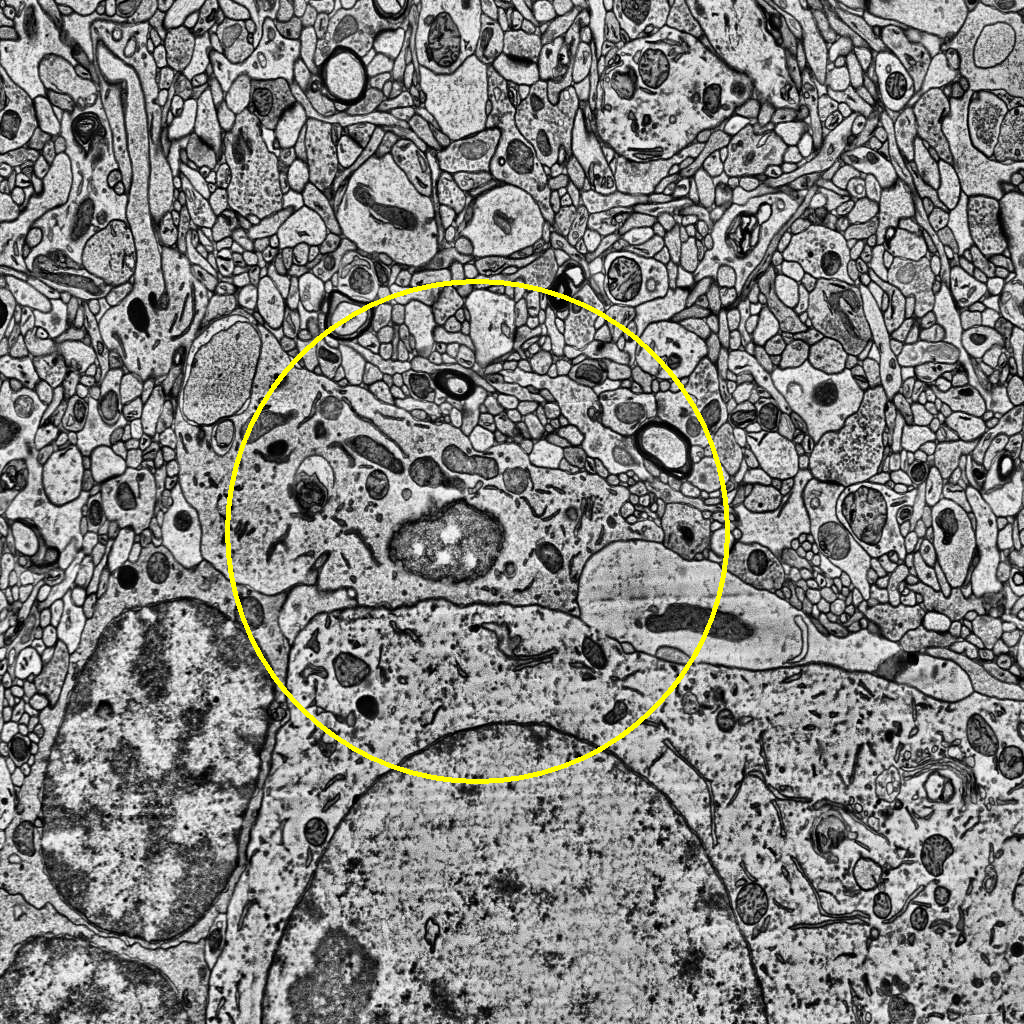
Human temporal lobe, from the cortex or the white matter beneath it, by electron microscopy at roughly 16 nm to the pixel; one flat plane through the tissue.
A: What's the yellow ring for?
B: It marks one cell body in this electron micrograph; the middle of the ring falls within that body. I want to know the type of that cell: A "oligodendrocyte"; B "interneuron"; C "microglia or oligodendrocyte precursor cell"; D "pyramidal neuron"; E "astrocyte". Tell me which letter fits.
C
